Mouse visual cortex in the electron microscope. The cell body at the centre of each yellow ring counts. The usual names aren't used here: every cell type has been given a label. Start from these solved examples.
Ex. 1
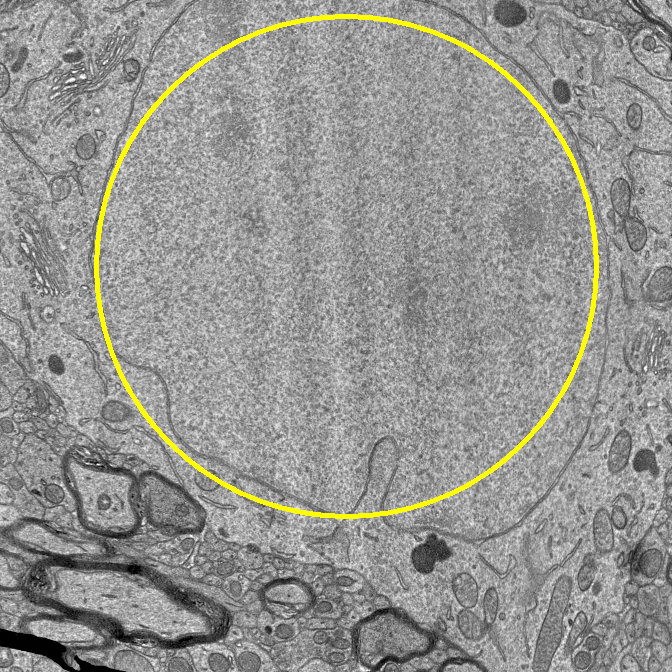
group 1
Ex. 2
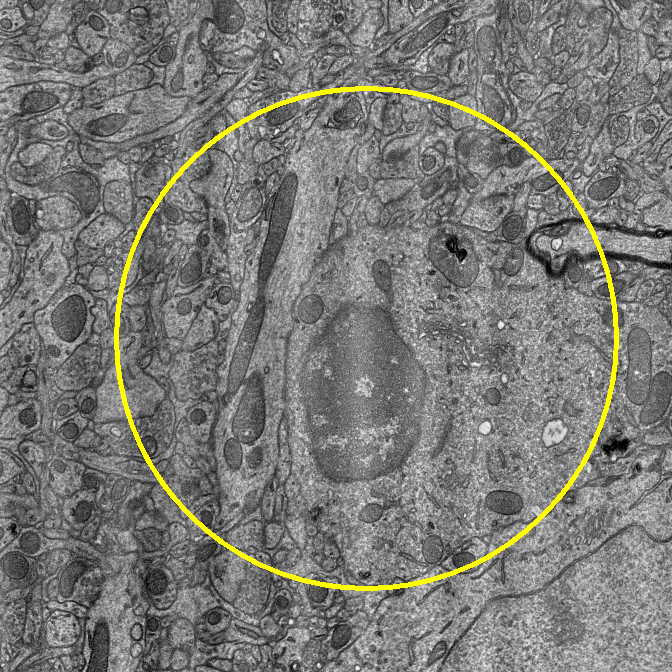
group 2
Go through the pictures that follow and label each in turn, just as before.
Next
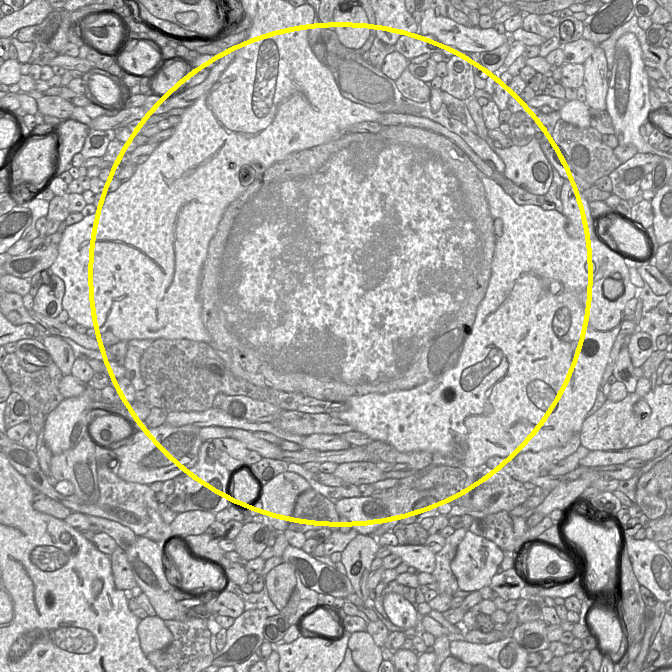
group 2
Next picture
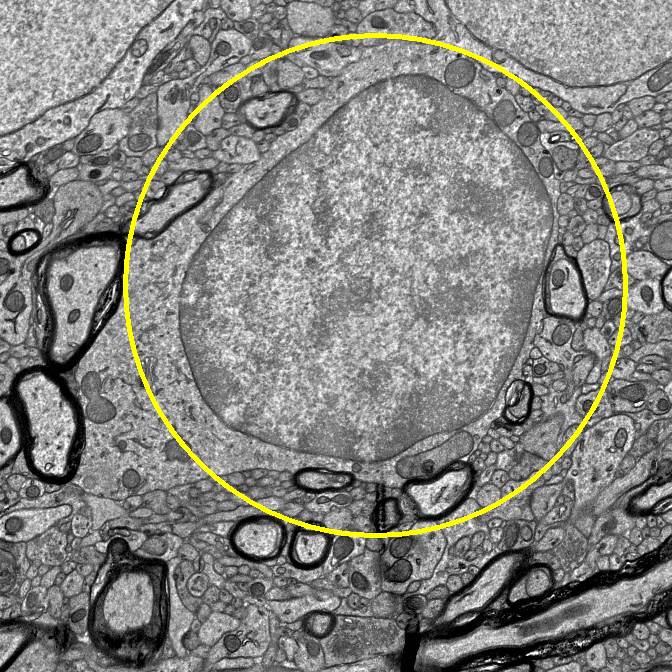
group 2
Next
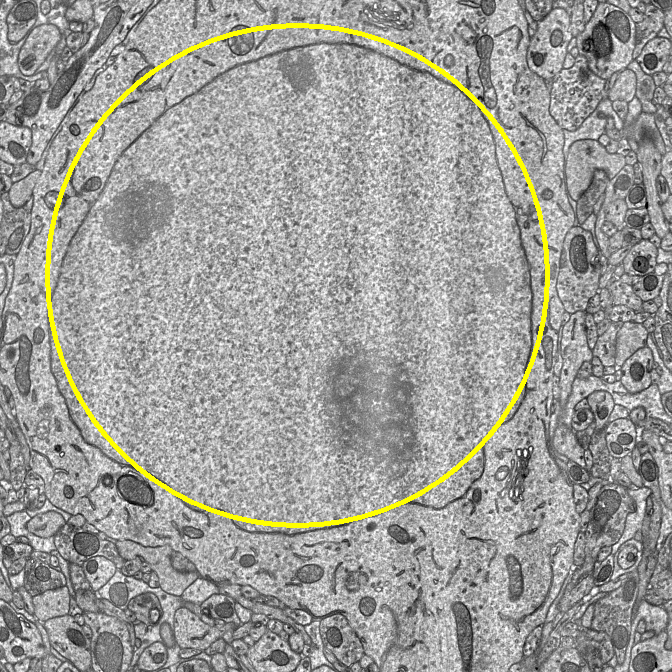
group 1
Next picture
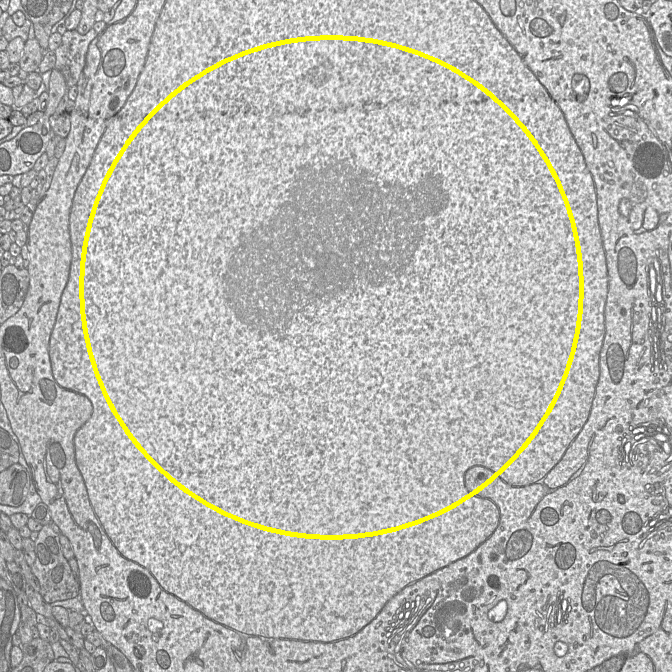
group 1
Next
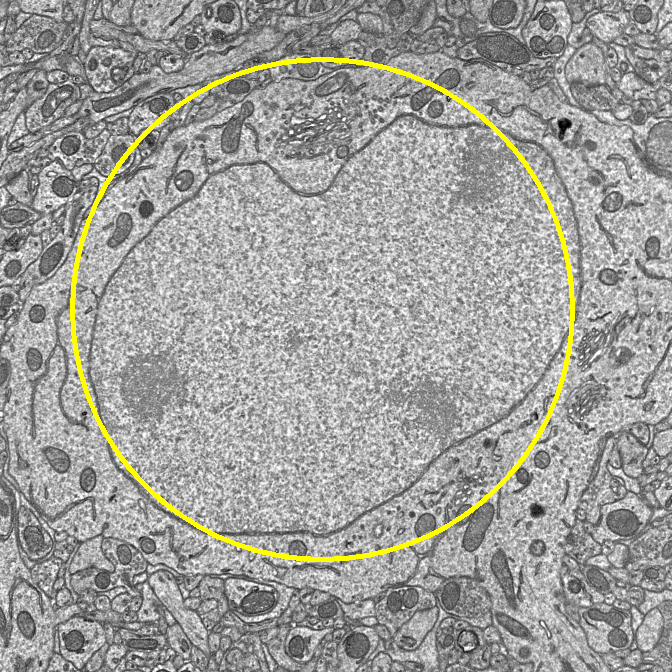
group 1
